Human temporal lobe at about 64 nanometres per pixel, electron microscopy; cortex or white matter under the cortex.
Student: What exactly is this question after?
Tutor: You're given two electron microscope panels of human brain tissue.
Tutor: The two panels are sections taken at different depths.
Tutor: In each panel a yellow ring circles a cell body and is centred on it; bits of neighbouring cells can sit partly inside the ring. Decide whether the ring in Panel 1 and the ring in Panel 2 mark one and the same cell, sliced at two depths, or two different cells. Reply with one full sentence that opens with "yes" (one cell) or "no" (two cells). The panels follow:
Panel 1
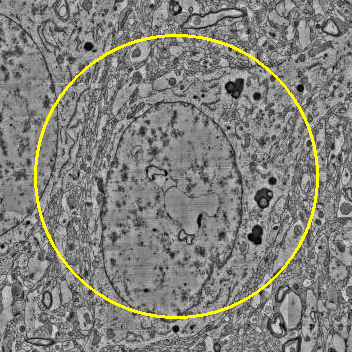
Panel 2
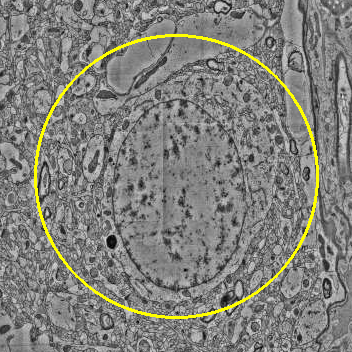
No, the rings single out two cells that are separate from each other.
